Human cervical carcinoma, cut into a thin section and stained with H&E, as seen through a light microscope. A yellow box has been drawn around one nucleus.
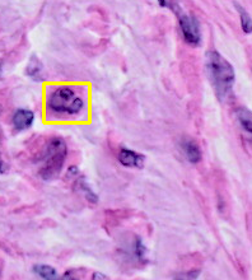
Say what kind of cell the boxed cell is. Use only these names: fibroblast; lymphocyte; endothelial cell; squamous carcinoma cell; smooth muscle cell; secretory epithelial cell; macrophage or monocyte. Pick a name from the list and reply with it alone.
macrophage or monocyte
